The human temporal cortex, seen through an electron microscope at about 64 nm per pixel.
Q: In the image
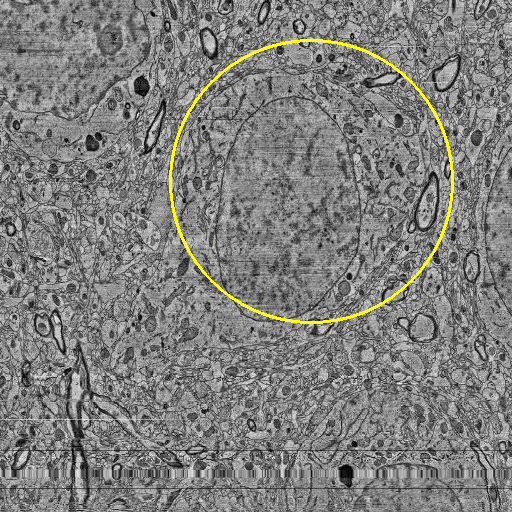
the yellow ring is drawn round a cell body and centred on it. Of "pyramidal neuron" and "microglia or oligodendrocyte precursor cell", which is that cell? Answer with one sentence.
The cell centred in the ring is a pyramidal neuron.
